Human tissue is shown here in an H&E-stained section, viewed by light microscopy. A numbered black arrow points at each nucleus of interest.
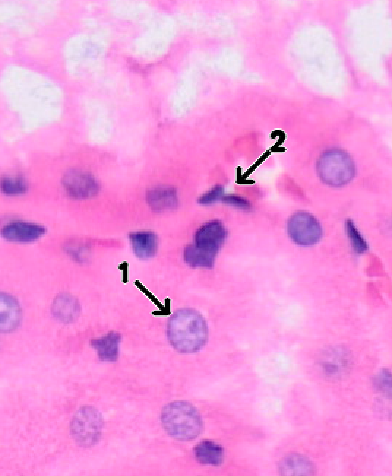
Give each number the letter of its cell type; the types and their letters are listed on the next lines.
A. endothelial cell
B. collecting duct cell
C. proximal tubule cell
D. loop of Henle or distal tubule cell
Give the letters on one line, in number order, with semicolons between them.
C; A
